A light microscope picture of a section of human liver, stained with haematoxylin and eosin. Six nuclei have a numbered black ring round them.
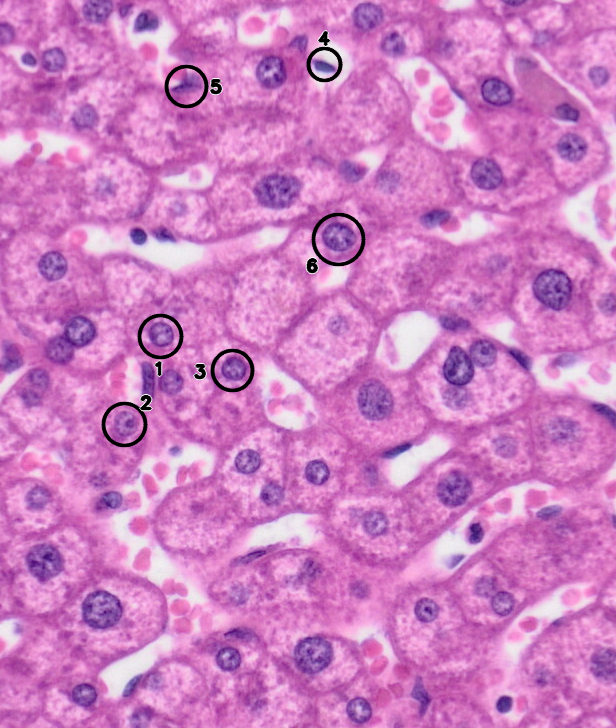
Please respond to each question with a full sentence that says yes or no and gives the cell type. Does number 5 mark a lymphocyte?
No, the cell labelled number 5 is not a lymphocyte; it is an endothelial cell.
